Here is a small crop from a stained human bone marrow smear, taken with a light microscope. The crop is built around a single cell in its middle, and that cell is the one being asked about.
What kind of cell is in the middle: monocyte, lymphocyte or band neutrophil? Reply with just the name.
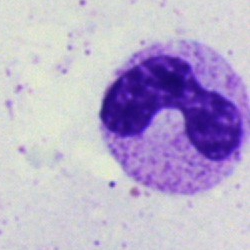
band neutrophil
